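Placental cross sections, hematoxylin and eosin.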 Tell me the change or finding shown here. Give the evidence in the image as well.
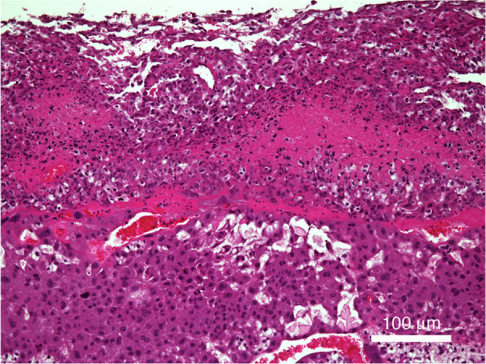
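Necrosis. A broad zone in the upper half has lost clear cell outlines and appears as pale pink material with scattered small dark nuclear fragments. Red blood cells fill dilated vessels and spaces nearby.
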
